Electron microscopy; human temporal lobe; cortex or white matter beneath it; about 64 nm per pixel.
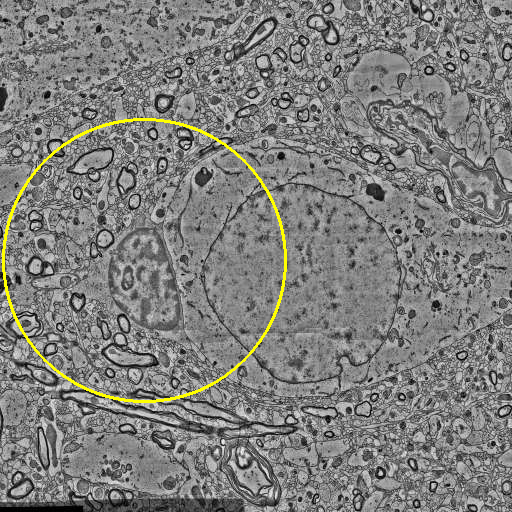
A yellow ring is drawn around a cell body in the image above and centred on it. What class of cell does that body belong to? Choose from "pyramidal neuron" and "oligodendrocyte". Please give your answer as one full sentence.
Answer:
The yellow ring above is centred on the cell body of an oligodendrocyte.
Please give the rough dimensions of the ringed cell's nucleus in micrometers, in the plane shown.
In this plane, approximately 7 by 4 micrometers.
